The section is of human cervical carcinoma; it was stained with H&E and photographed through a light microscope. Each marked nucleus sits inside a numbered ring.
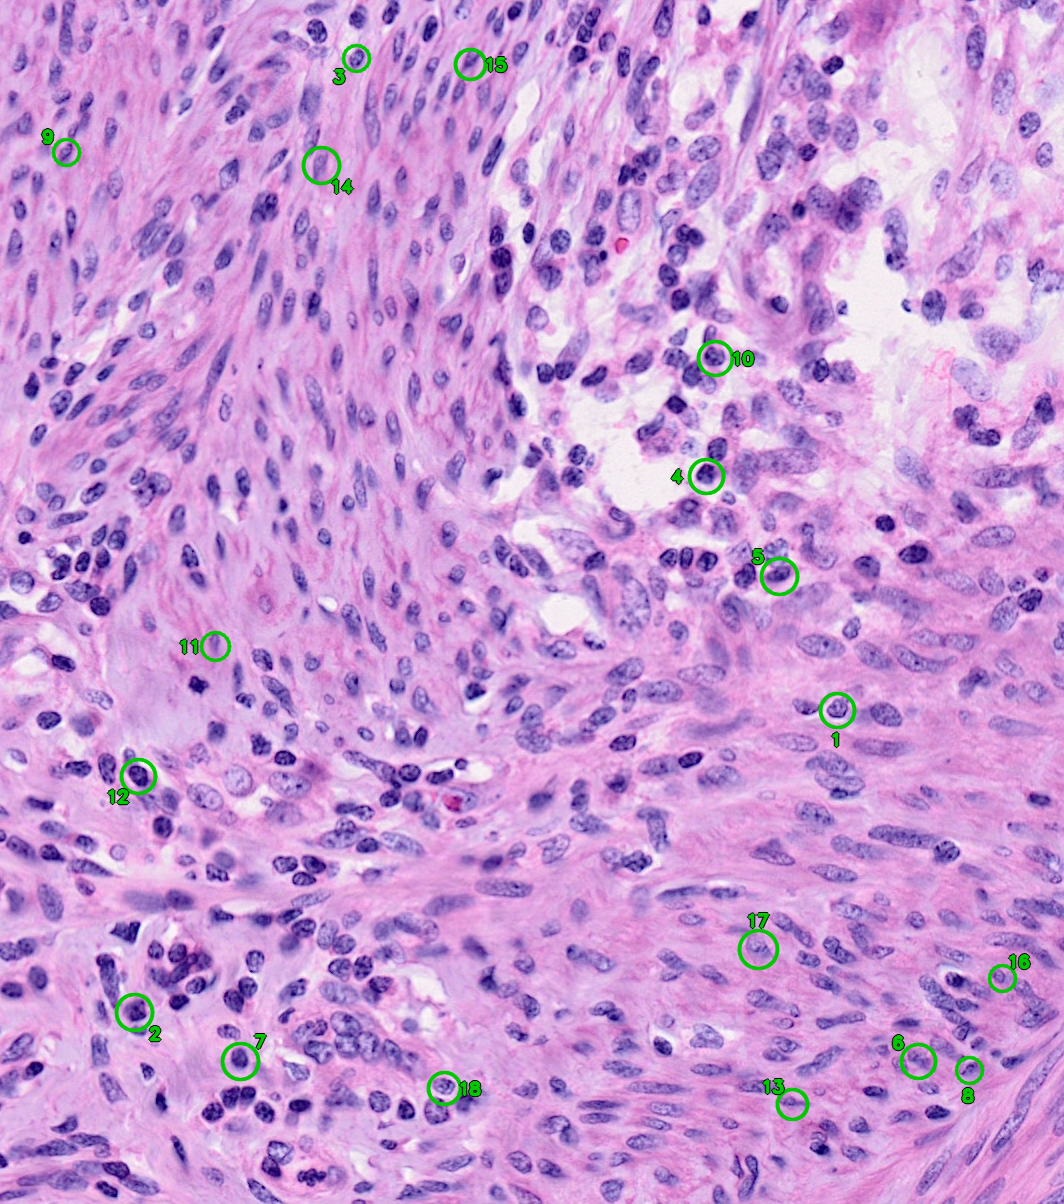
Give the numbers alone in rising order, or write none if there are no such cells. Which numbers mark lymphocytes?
1, 2, 4, 5, 7, 10, 12, 18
